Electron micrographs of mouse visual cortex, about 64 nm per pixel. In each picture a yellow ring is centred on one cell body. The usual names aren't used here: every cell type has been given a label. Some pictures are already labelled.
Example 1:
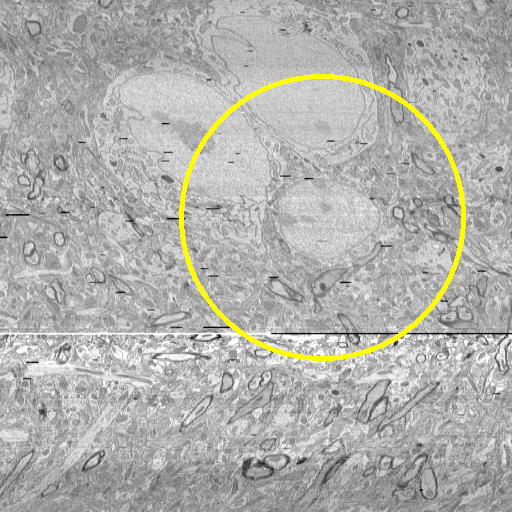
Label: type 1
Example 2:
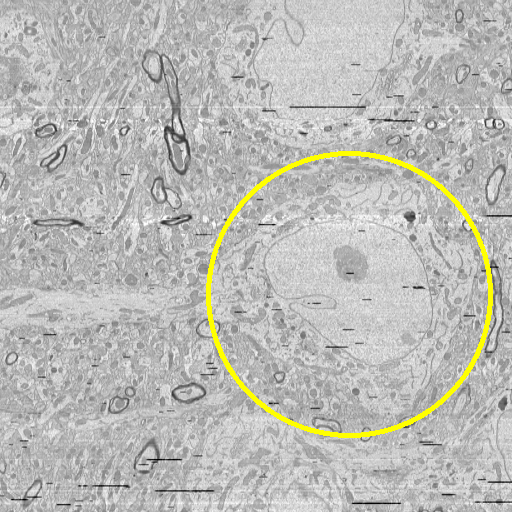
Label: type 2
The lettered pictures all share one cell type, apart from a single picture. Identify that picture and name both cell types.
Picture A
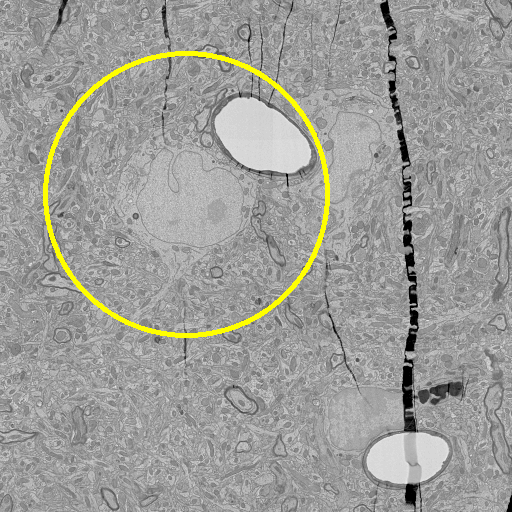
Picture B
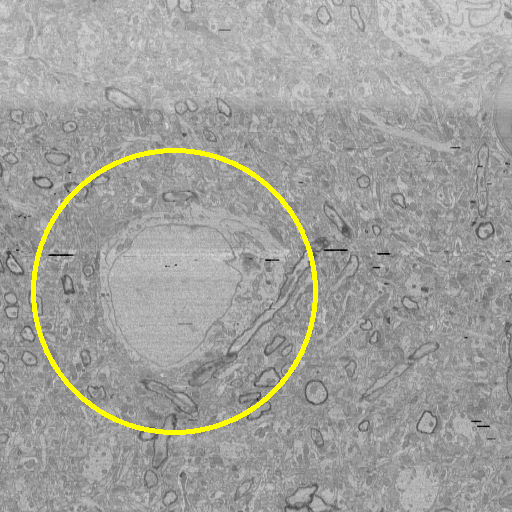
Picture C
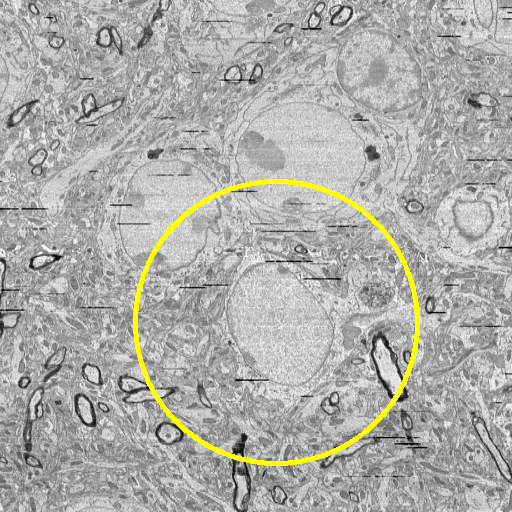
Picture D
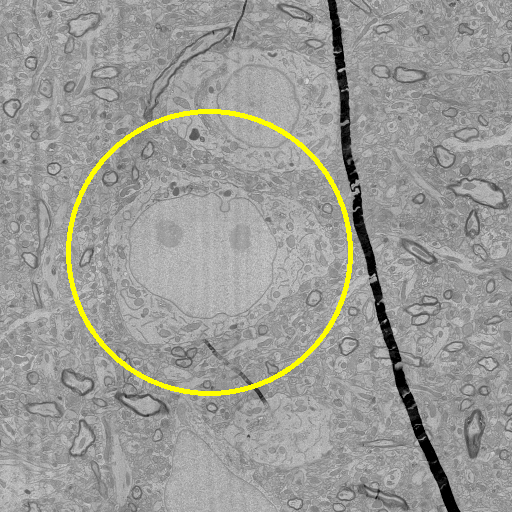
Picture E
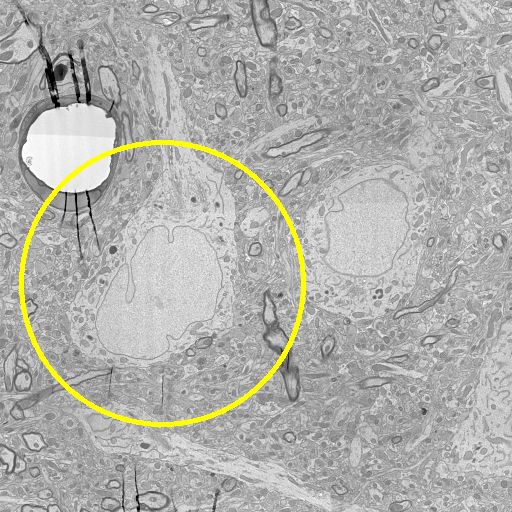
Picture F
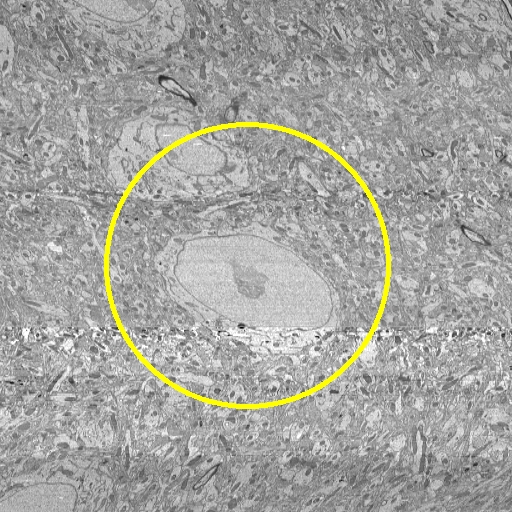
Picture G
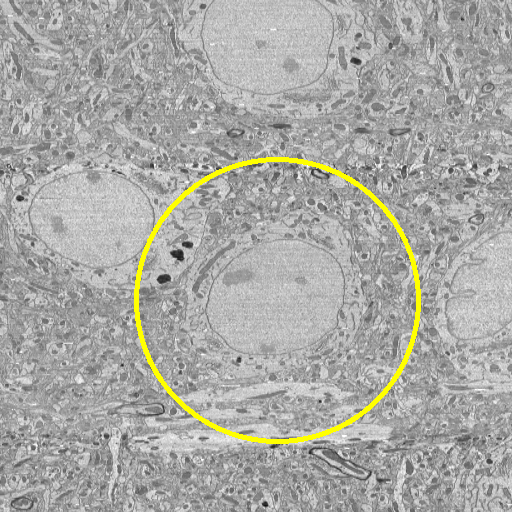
Odd one out: C (type 1). The rest: type 2.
